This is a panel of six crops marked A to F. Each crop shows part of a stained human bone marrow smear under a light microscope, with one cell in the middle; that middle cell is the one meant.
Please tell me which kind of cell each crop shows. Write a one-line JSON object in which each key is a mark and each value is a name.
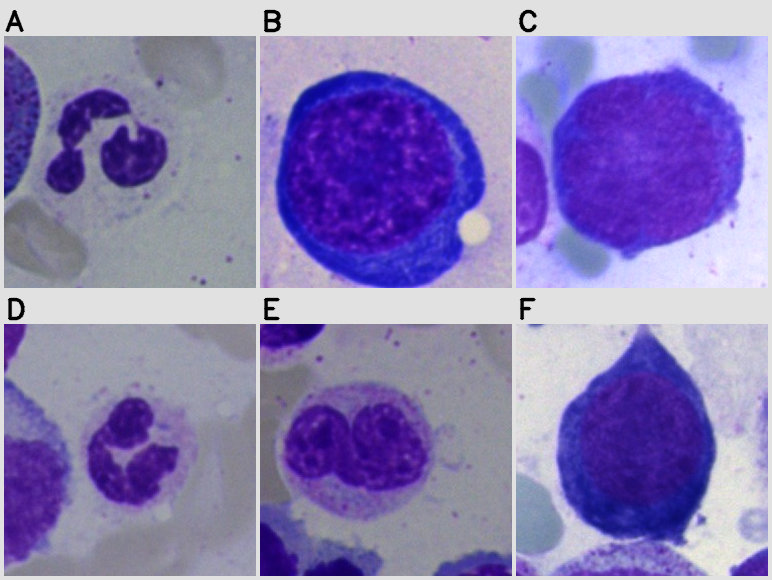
{"A": "segmented neutrophil", "B": "proerythroblast", "C": "proerythroblast", "D": "segmented neutrophil", "E": "band neutrophil", "F": "proerythroblast"}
